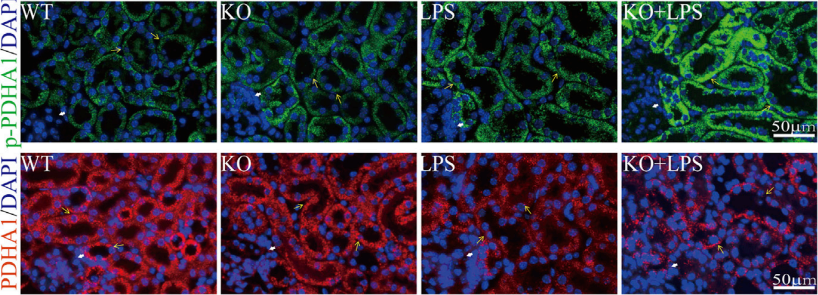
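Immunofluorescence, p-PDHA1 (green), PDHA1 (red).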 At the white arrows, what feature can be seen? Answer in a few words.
Glomerulus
